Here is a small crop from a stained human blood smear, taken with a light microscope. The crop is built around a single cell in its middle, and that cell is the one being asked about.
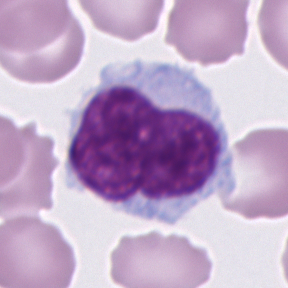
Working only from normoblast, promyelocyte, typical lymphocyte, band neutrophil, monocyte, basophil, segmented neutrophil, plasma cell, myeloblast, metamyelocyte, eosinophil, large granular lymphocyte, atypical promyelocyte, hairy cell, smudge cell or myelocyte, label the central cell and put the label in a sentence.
Present in the middle of the crop is a hairy cell.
